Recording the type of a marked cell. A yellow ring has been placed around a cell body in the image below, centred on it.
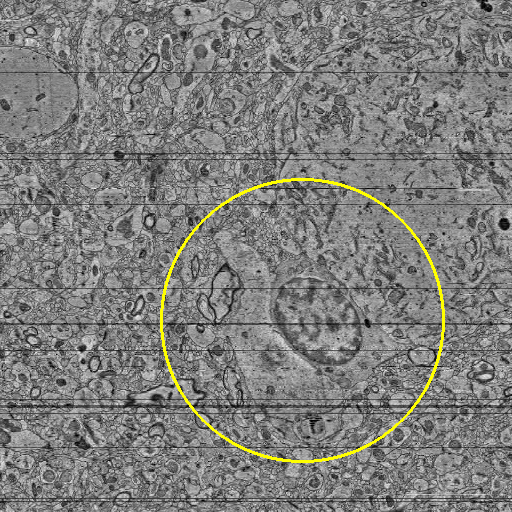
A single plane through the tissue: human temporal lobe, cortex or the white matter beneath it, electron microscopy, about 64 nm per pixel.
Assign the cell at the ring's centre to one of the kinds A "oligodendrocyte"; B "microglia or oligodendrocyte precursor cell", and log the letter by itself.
A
